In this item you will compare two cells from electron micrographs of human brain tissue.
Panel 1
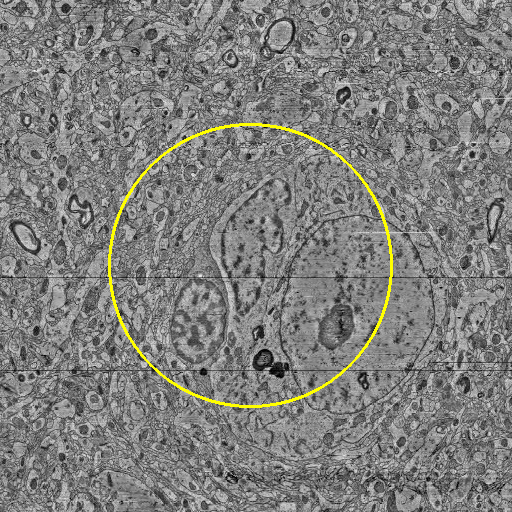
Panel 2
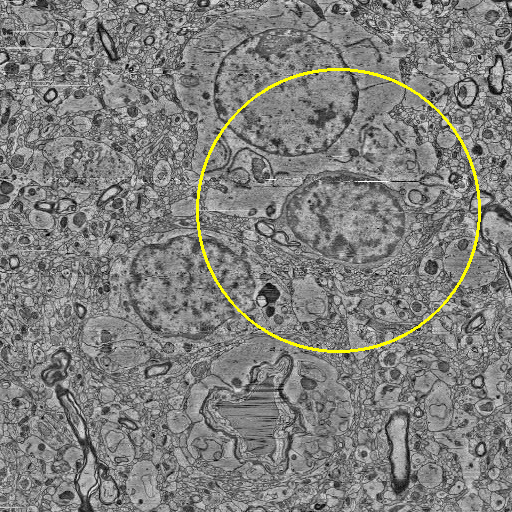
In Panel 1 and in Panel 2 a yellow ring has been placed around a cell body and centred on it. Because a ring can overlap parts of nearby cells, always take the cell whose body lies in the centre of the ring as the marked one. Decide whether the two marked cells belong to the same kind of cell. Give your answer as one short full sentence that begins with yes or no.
No, the two marked cells belong to two kinds of cell.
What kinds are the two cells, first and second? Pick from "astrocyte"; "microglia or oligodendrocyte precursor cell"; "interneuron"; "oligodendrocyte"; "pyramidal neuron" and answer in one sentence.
The second picture holds an oligodendrocyte in its ring, and the first holds a microglial cell or oligodendrocyte precursor cell.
